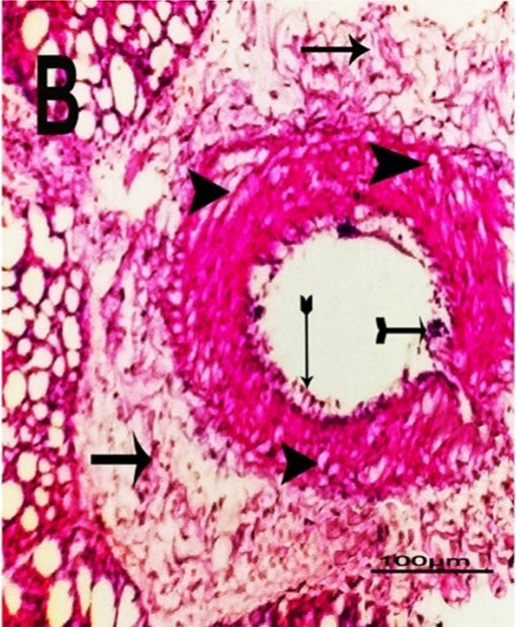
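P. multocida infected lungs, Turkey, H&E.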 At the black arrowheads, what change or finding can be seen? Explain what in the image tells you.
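Vacuolation of vascular tunica media. The arrowheads point to the thick, deep pink wall of a large round vessel. Small clear vacuoles are scattered through the pink wall.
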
